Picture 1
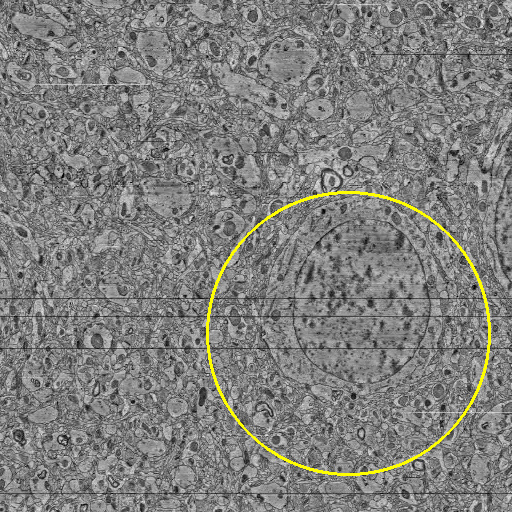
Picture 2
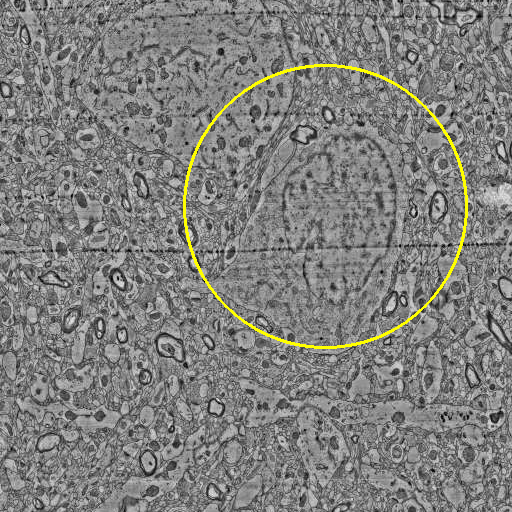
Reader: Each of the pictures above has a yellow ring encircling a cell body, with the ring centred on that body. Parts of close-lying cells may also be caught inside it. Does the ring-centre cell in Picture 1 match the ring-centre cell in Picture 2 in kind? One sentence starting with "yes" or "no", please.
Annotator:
No, Picture 1 and Picture 2 show ring-centre cells of two kinds.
